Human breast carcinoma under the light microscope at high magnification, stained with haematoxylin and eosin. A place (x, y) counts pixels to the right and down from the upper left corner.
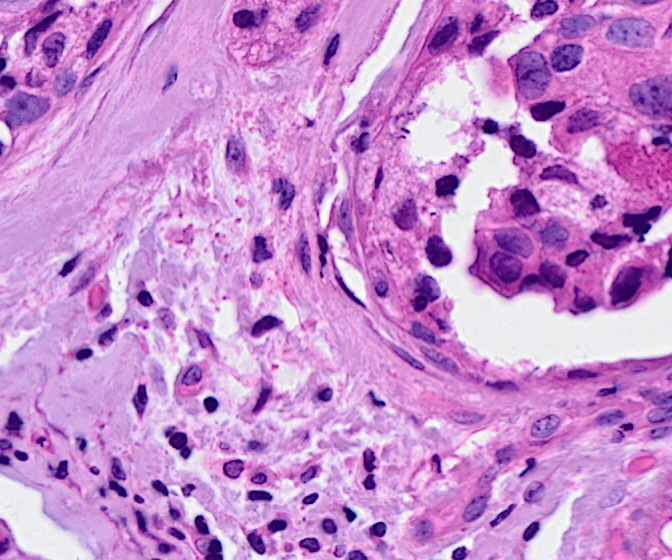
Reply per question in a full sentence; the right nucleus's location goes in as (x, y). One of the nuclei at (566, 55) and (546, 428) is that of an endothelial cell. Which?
The nucleus at (546, 428) is housed in an endothelial cell.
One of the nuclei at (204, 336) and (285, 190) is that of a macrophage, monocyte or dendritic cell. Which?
The nucleus at (285, 190) is the one of the two that belongs to a macrophage, monocyte or dendritic cell.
